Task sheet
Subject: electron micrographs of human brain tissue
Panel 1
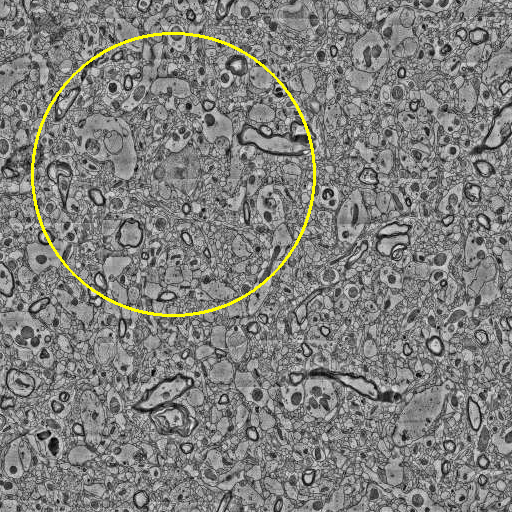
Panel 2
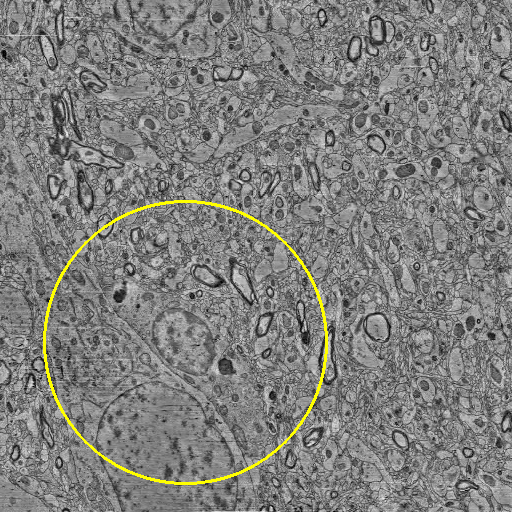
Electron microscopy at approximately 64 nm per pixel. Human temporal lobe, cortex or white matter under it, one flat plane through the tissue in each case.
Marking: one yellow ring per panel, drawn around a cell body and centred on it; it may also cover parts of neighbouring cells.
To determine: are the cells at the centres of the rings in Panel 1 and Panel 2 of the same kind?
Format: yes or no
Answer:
yes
